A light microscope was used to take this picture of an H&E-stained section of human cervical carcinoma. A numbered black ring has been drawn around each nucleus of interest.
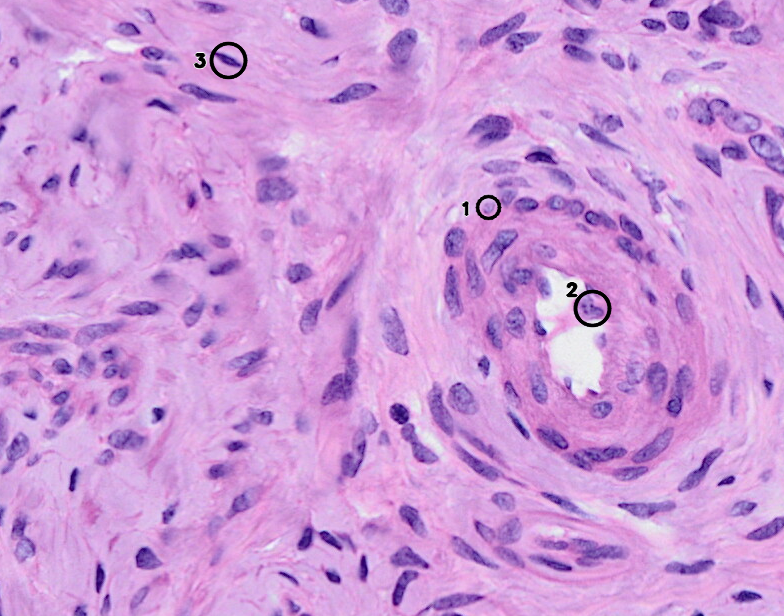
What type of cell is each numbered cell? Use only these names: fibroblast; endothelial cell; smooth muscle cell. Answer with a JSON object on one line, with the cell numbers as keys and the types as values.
{"1": "smooth muscle cell", "2": "endothelial cell", "3": "fibroblast"}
